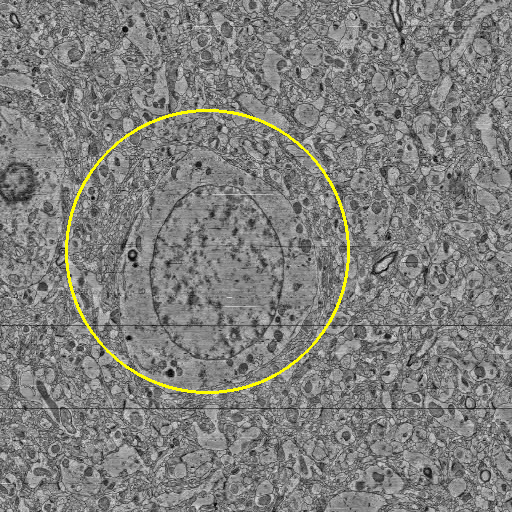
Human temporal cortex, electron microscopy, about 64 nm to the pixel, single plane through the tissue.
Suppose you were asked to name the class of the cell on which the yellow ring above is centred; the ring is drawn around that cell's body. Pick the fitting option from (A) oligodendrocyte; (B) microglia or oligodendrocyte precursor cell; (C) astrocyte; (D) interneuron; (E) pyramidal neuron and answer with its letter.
E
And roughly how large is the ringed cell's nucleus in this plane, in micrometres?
Roughly 11 micrometres by 9 micrometres, in this plane.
